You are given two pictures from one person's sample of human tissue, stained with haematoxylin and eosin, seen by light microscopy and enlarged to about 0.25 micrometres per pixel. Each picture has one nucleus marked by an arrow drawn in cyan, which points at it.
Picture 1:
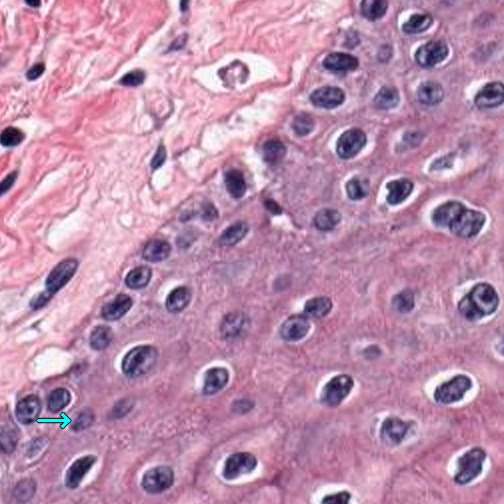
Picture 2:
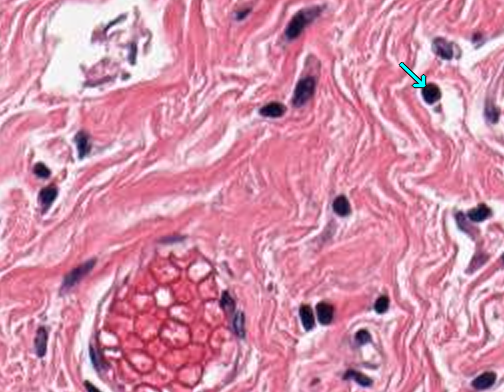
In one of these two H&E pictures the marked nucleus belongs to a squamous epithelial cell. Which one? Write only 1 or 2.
1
